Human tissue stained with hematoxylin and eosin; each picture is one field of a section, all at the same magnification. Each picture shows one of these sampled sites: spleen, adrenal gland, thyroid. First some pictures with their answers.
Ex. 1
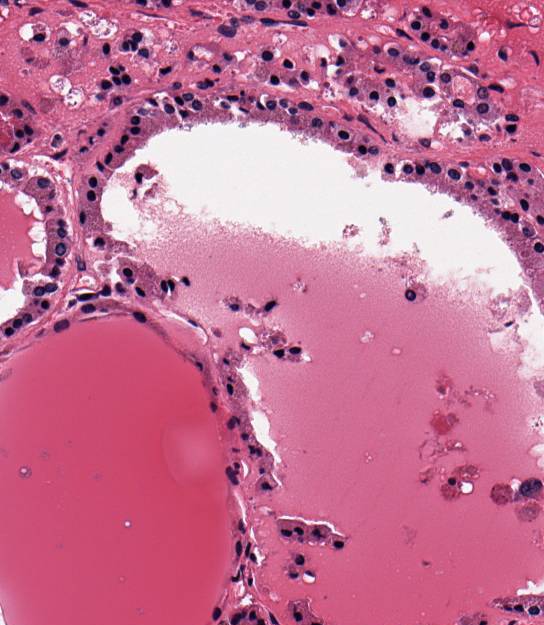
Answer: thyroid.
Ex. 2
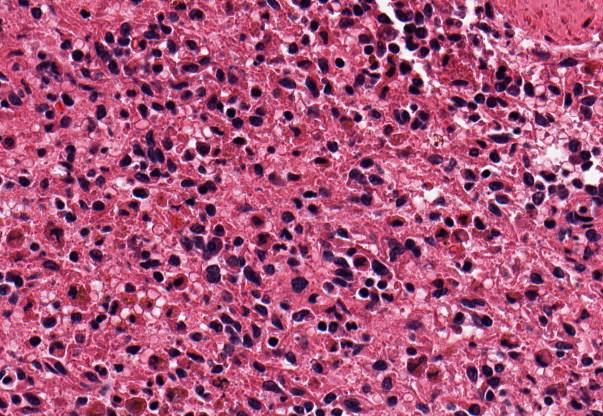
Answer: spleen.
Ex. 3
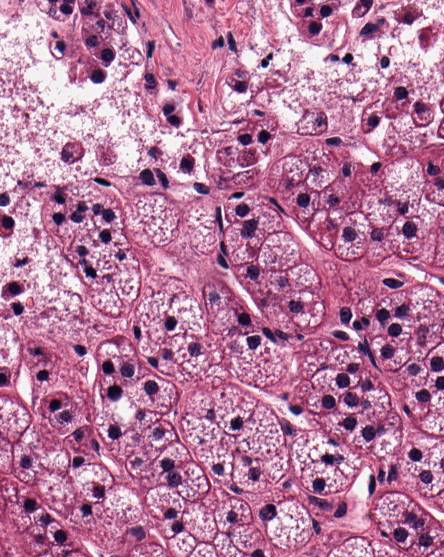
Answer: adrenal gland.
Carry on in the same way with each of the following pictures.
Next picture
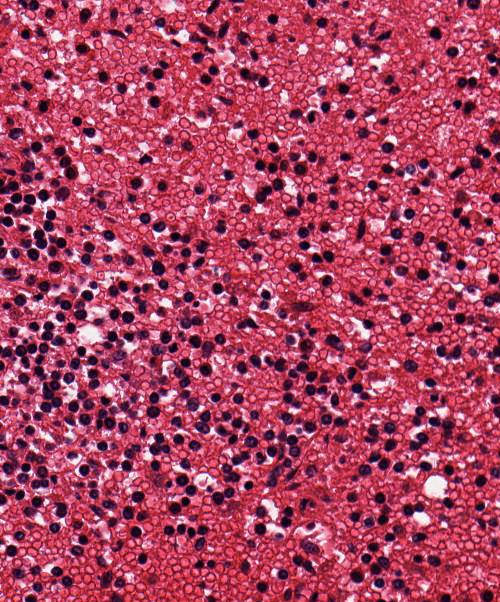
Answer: spleen.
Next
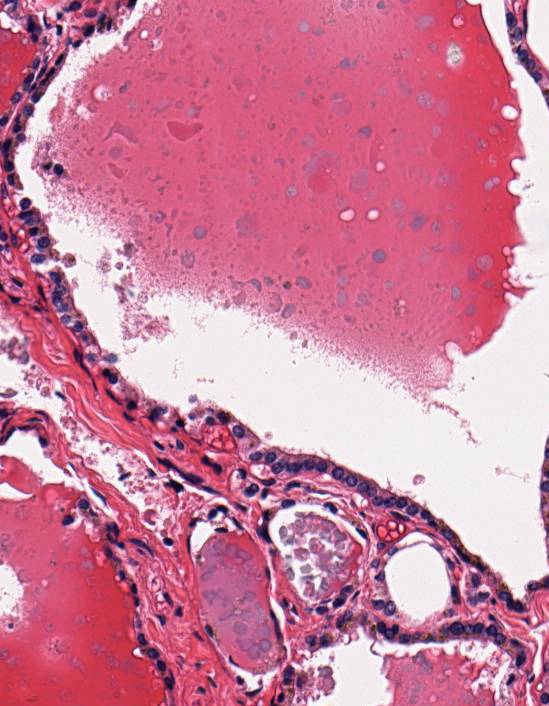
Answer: thyroid.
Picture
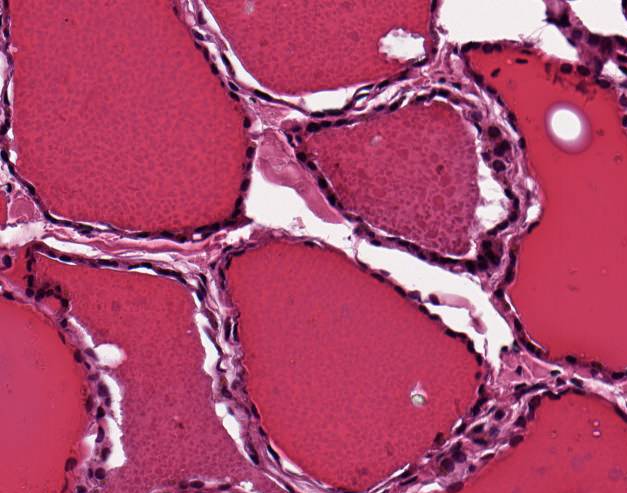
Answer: thyroid.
